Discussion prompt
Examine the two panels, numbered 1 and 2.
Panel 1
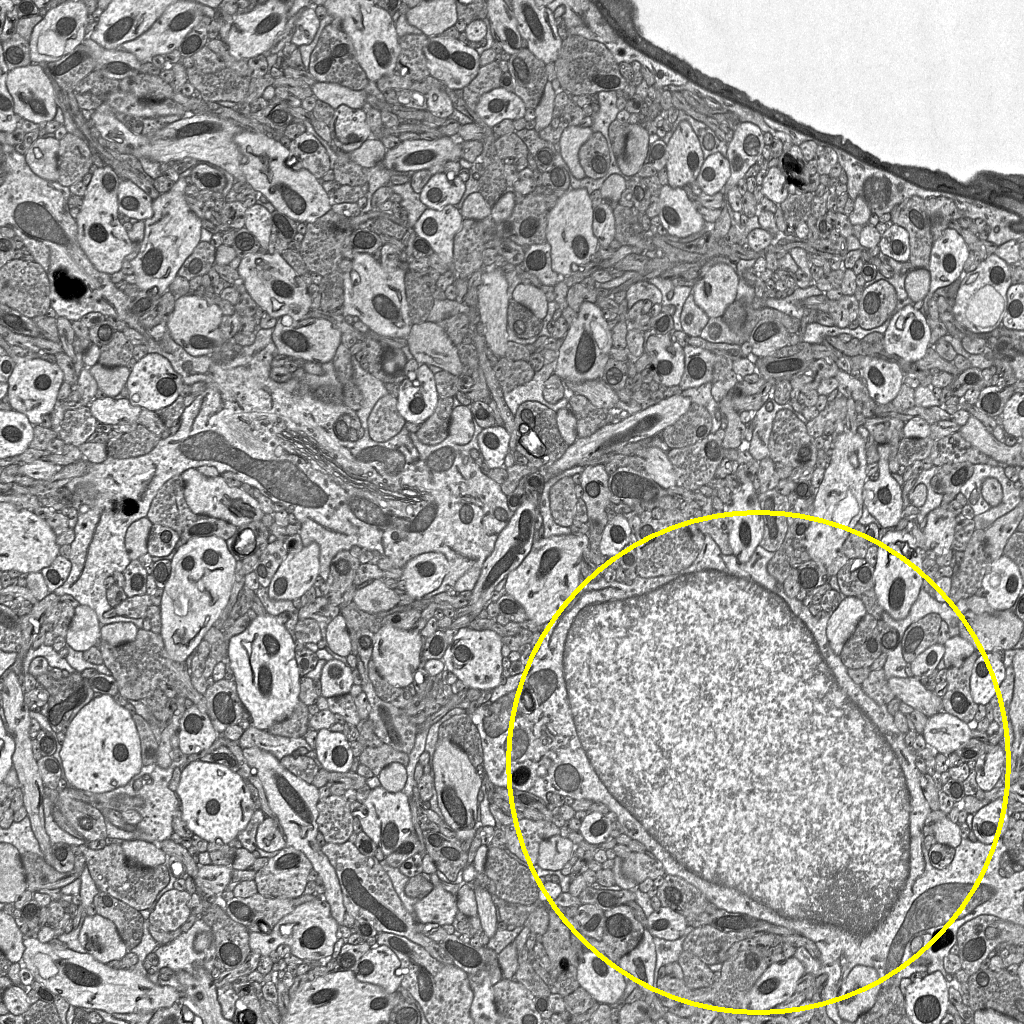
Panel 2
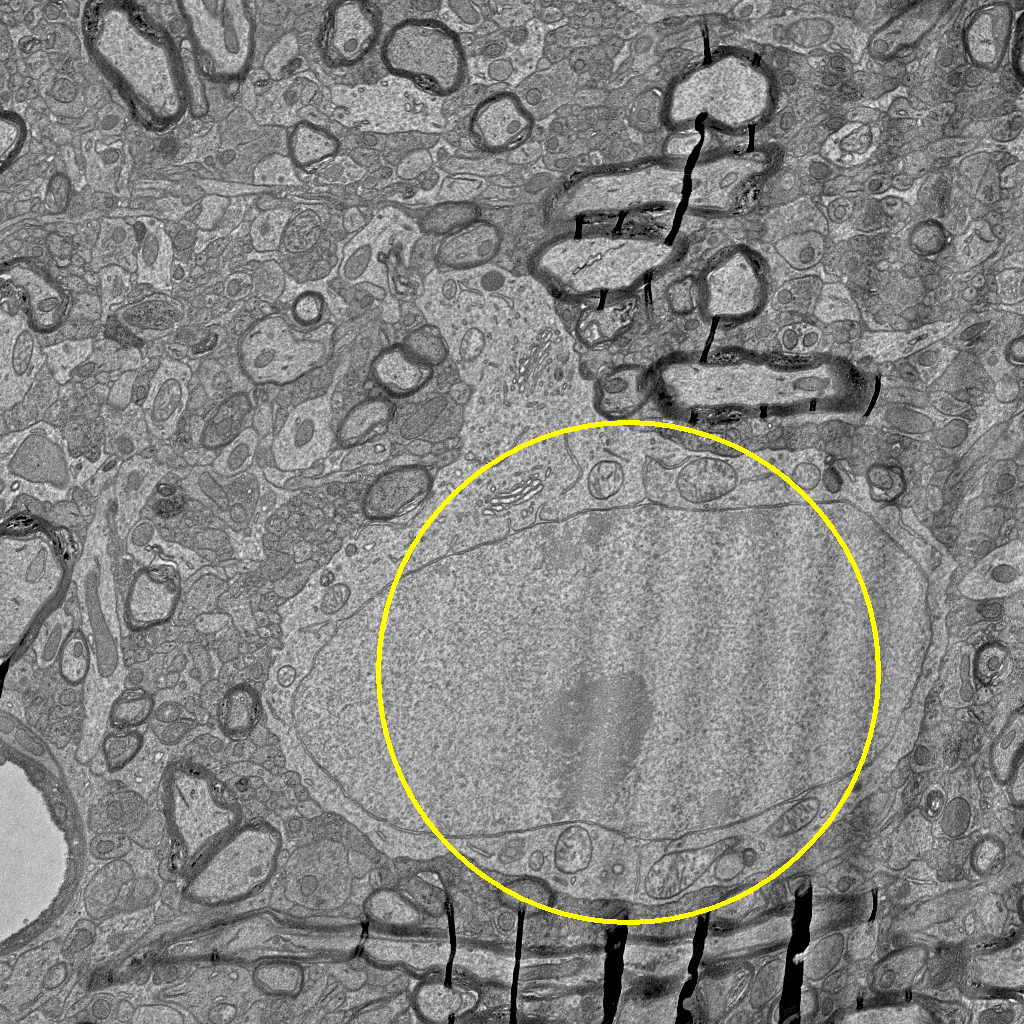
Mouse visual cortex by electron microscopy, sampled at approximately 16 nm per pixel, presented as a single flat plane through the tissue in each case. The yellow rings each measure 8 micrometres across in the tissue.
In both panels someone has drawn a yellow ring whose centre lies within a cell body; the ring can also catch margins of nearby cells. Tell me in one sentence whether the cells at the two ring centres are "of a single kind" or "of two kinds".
Taken together, the two cells at the ring centres of Panels 1 and 2 are of two kinds.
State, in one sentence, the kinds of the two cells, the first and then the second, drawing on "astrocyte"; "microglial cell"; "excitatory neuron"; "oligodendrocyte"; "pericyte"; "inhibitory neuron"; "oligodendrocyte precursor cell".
The two cells are an astrocyte in the first picture and an excitatory neuron in the second.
